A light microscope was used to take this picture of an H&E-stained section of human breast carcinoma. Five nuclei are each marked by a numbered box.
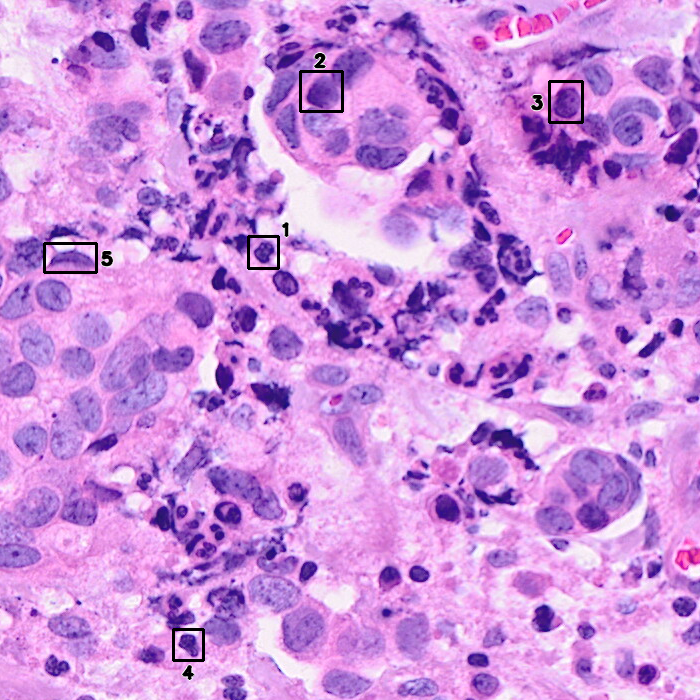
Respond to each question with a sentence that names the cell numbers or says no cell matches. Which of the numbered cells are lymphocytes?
The cells given the numbers 1 and 4 are lymphocytes.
